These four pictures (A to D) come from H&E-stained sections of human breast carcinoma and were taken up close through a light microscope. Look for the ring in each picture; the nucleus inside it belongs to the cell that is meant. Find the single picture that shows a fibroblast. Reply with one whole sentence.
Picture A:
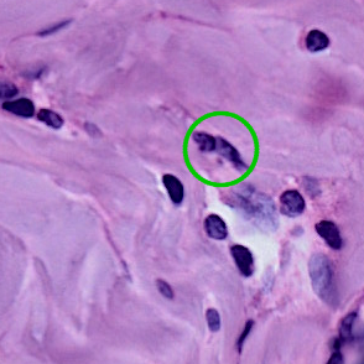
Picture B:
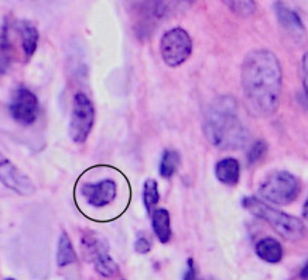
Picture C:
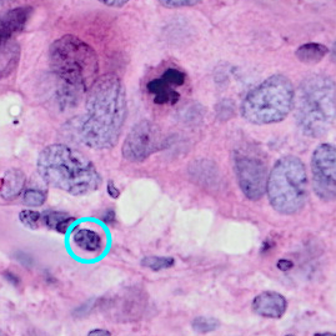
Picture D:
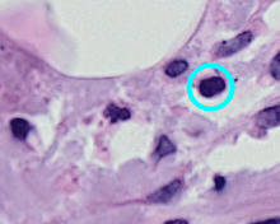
It is picture A that shows the fibroblast.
